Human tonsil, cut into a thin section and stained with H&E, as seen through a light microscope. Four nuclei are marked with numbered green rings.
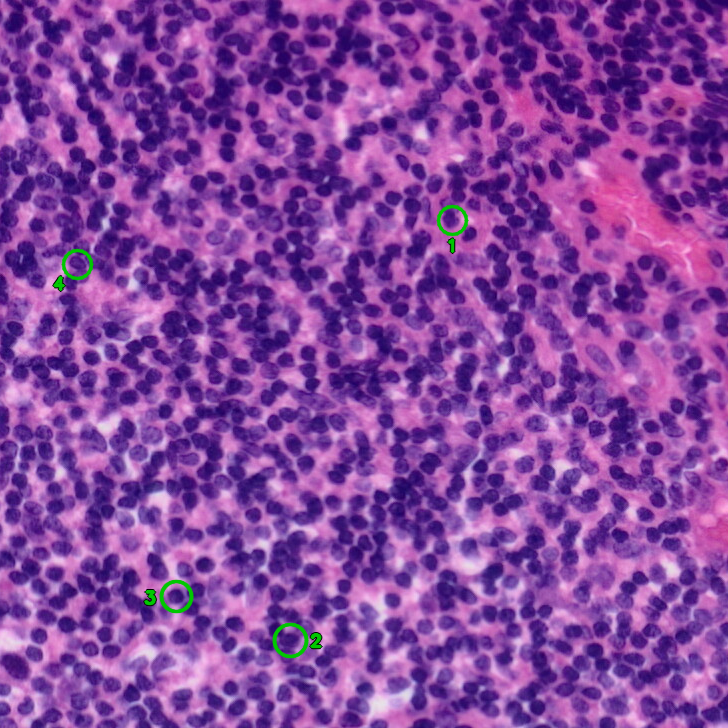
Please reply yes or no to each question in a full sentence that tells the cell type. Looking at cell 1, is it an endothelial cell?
Yes, the cell at marker 1 is an endothelial cell.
